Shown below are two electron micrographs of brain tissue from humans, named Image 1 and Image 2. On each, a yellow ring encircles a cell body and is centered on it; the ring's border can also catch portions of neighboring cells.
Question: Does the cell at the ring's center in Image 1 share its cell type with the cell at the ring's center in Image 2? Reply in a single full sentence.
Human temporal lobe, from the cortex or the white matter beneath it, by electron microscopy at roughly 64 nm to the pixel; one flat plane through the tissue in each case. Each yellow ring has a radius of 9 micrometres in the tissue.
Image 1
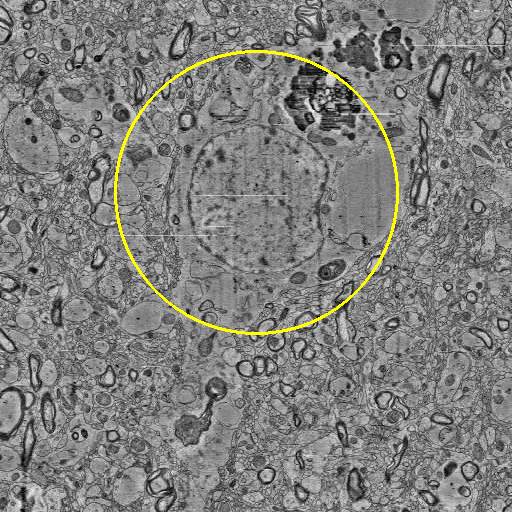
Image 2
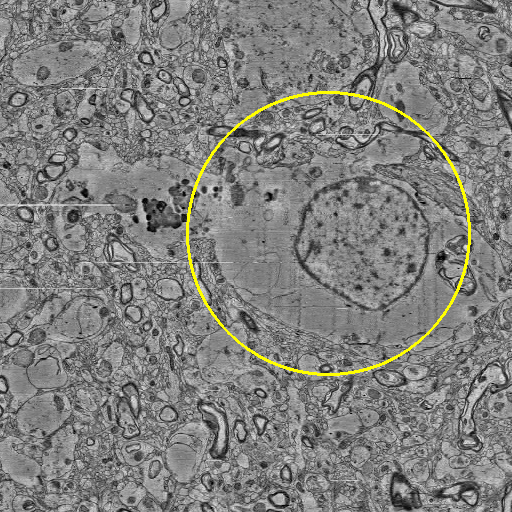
Yes, the two cells at the ring centers, in Image 1 and Image 2, share one cell type.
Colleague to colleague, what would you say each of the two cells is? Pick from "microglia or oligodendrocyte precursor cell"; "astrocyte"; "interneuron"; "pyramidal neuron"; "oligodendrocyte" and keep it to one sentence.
Each cell, in the first picture and the second, is an astrocyte.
